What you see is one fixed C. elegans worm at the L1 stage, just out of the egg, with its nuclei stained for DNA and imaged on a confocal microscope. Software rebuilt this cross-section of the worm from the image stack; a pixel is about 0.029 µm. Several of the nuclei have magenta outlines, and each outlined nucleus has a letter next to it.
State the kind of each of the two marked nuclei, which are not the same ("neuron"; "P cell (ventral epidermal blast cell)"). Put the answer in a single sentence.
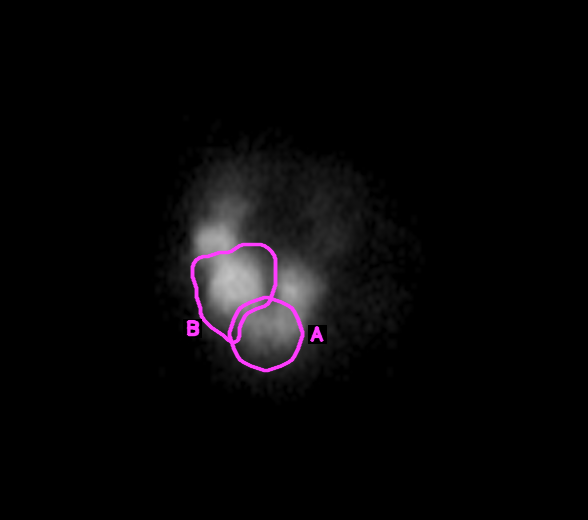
The nucleus A is that of a P cell (ventral epidermal blast cell), while B is that of a neuron.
